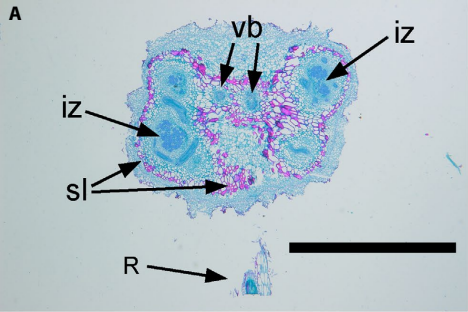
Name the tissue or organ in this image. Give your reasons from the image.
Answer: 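Several dense, rounded darker-blue zones lie inside it. A small separate piece of tissue lies below it.
Hence: nodule.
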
